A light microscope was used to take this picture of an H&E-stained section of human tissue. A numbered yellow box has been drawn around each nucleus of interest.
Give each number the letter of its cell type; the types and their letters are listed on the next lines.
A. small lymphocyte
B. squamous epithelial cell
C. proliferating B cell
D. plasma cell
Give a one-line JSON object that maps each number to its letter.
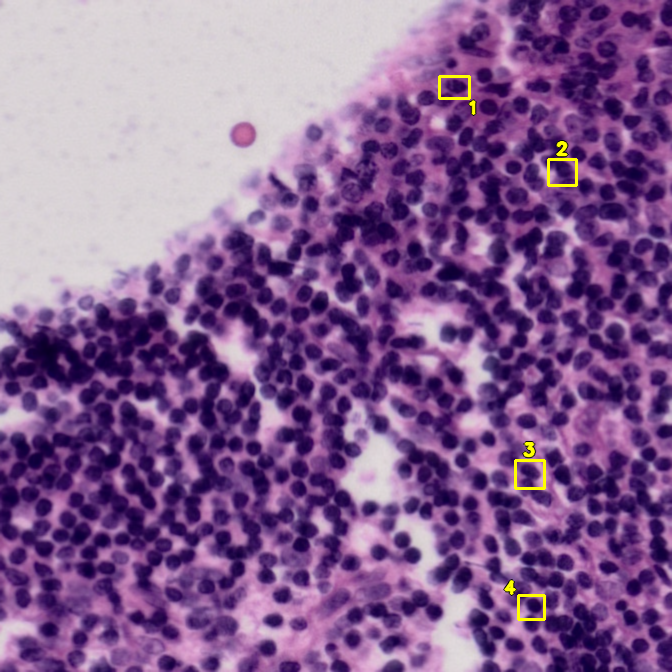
{"1": "D", "2": "A", "3": "A", "4": "A"}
